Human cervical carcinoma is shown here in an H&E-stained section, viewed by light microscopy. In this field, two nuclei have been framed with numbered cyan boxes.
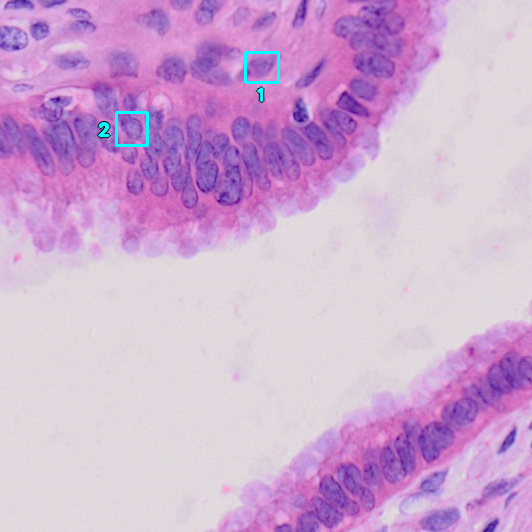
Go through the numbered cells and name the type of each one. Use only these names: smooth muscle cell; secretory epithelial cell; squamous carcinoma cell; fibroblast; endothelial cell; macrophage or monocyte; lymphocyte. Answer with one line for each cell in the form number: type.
1: fibroblast
2: secretory epithelial cell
